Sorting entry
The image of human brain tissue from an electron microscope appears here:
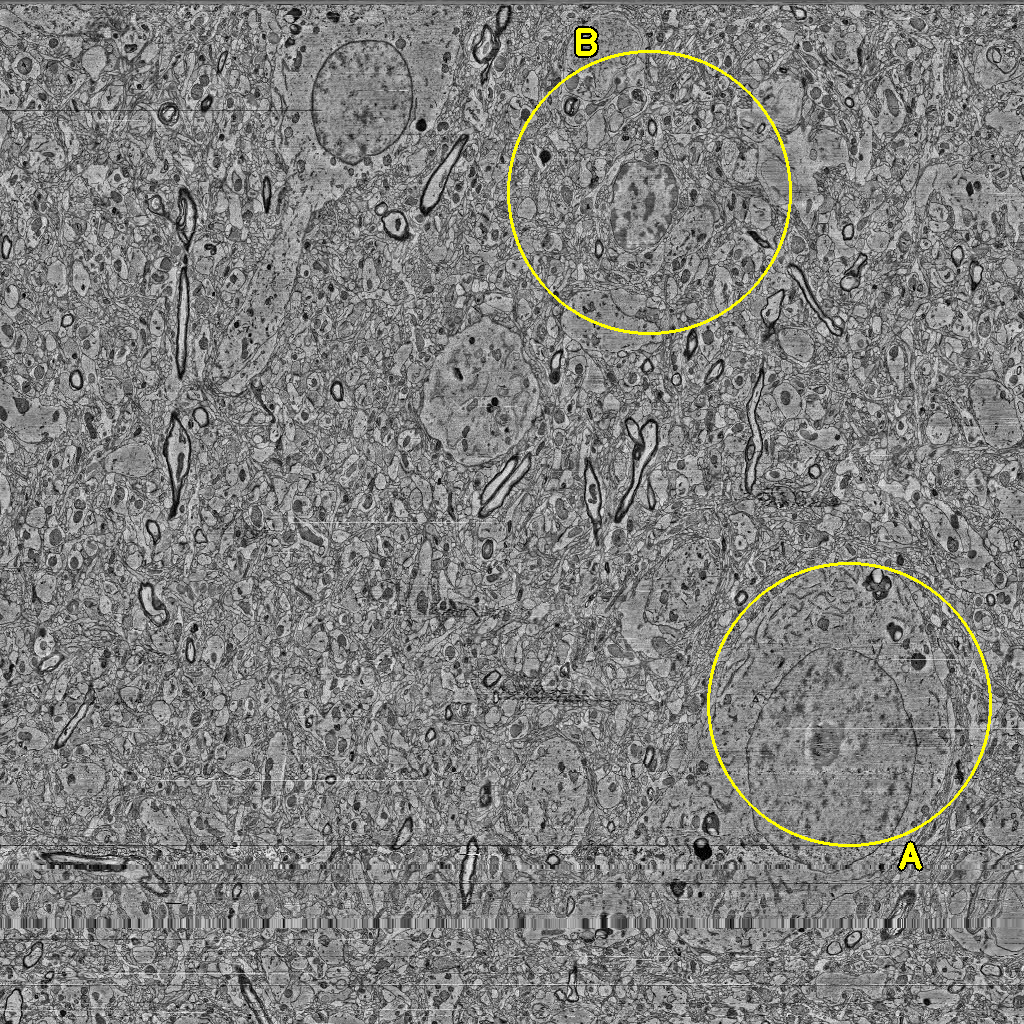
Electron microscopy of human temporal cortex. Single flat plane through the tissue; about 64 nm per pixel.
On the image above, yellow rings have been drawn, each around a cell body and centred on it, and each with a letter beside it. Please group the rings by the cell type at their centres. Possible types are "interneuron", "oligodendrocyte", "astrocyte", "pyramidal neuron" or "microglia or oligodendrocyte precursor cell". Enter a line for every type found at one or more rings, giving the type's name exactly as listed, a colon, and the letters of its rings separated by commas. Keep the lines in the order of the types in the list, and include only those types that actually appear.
pyramidal neuron: A
microglia or oligodendrocyte precursor cell: B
